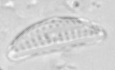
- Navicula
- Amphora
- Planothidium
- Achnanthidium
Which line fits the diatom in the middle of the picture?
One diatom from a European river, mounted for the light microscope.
Amphora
